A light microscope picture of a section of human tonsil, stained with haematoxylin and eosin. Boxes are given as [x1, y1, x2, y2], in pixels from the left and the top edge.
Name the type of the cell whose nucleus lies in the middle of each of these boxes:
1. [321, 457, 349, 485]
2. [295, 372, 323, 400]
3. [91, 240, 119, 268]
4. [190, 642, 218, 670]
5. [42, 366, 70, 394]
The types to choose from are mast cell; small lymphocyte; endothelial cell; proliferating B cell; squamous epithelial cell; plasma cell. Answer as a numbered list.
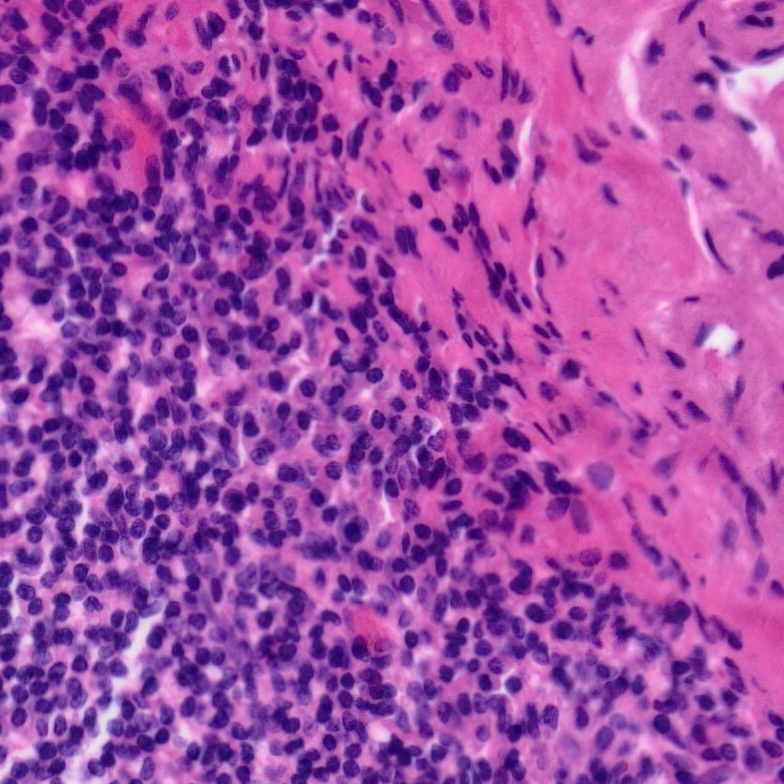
1. plasma cell
2. plasma cell
3. small lymphocyte
4. small lymphocyte
5. small lymphocyte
